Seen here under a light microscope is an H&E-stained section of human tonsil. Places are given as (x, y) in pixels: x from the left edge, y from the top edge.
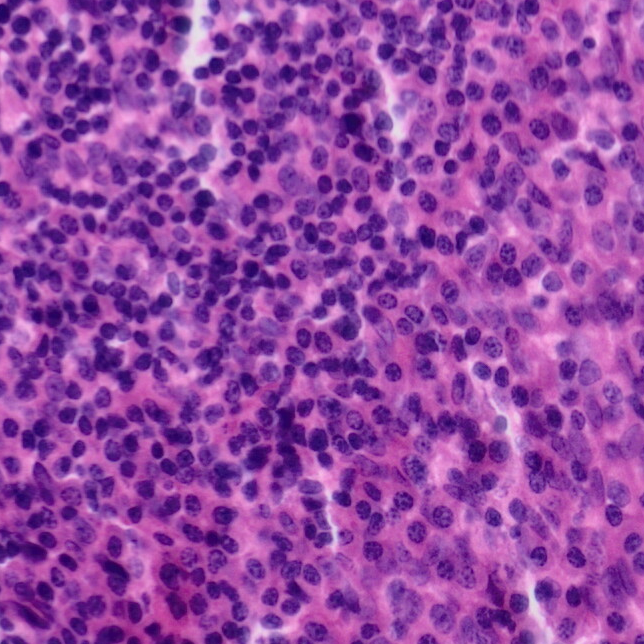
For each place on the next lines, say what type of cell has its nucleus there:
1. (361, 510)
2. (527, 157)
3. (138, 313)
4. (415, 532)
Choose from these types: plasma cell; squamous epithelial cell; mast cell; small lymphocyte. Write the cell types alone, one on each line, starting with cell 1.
plasma cell
plasma cell
small lymphocyte
plasma cell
